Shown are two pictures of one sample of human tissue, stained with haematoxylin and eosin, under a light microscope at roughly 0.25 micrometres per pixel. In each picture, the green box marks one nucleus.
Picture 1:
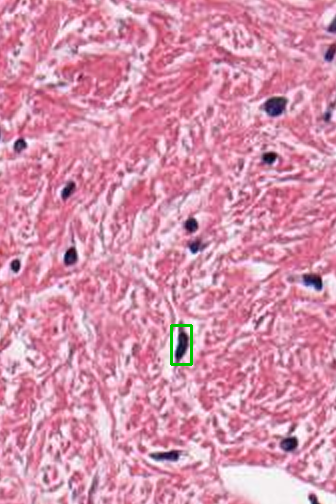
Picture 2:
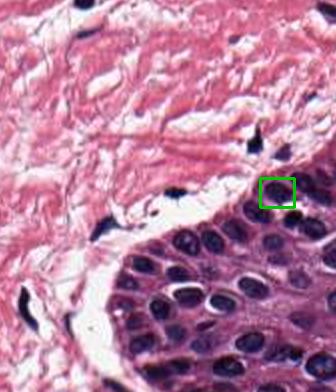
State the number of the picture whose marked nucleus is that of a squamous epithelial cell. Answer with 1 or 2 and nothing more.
2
